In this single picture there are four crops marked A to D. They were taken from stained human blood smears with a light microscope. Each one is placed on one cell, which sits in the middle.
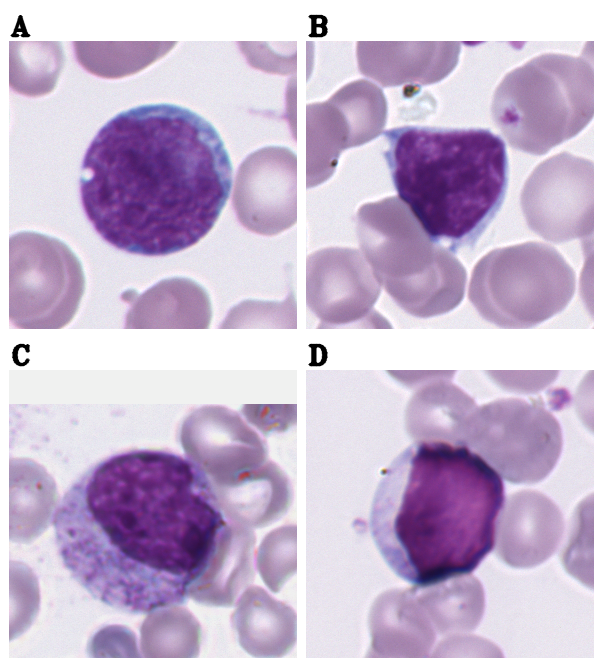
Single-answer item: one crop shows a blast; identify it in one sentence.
Crop A is the one depicting a blast.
